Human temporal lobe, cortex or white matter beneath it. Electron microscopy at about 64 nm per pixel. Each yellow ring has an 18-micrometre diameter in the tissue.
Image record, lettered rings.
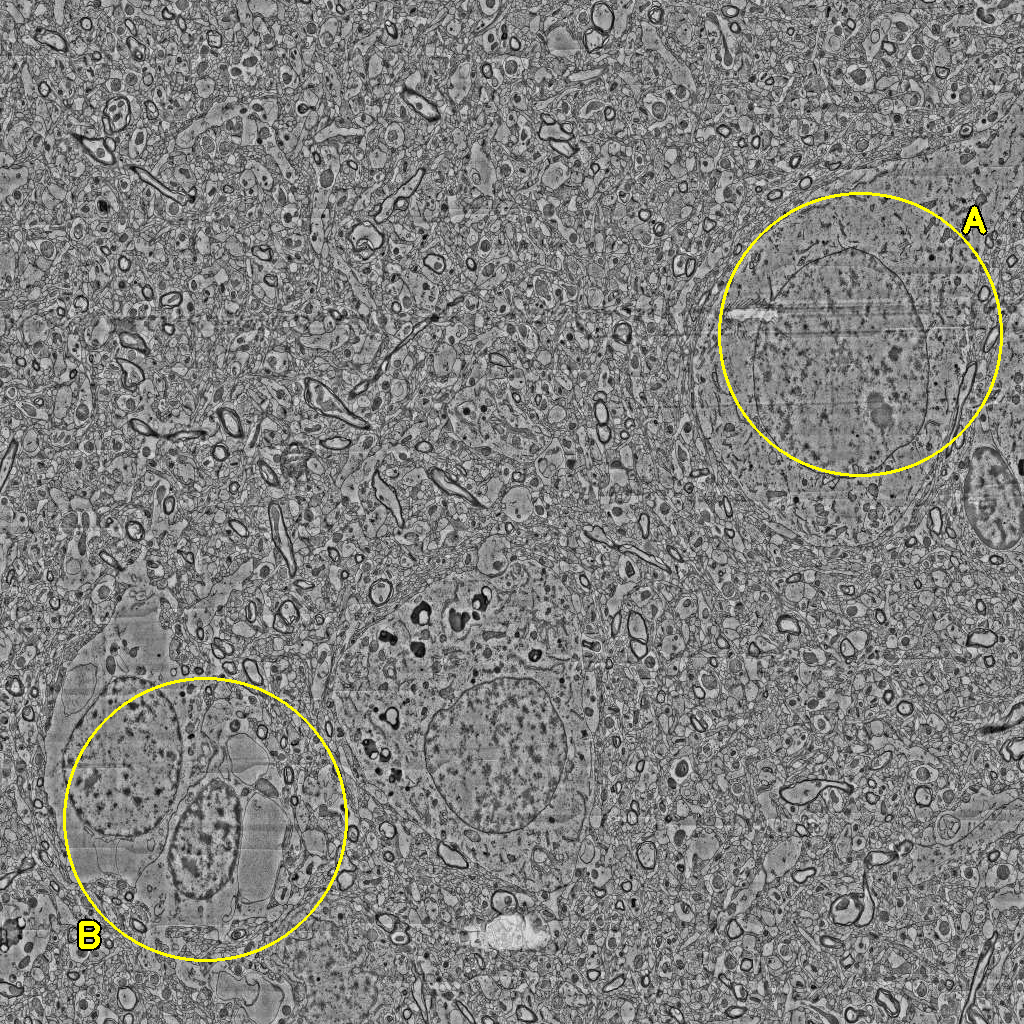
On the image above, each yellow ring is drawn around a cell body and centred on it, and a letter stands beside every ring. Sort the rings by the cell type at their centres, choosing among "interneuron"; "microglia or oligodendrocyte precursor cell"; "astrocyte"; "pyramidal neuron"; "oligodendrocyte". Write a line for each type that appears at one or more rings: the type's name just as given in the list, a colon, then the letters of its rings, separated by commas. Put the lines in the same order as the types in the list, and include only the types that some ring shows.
astrocyte: B
pyramidal neuron: A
